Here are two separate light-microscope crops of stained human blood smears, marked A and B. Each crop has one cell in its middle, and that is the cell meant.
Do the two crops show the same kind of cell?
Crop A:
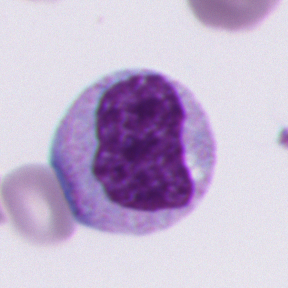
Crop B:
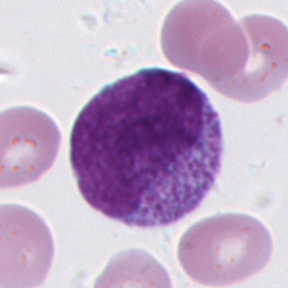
no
